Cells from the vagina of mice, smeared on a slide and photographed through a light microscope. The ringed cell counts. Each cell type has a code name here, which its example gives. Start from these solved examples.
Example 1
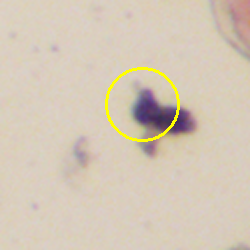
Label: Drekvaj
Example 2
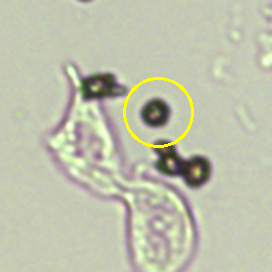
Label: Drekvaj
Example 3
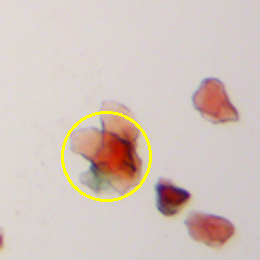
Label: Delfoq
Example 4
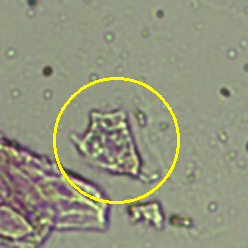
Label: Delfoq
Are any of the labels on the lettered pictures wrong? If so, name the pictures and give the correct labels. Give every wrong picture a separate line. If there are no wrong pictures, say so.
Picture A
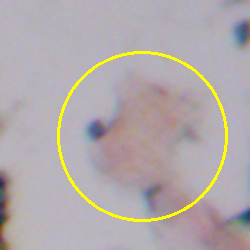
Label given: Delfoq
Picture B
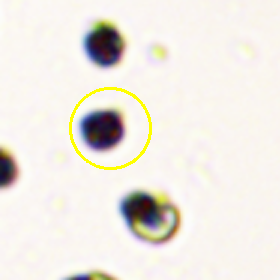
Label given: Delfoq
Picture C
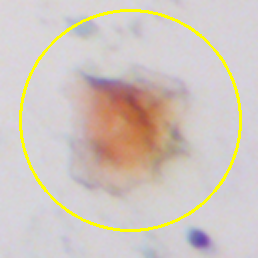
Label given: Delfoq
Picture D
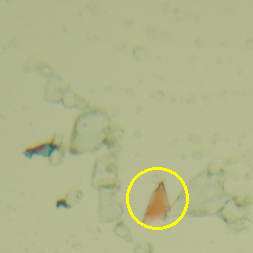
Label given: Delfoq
B: not Delfoq but Drekvaj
